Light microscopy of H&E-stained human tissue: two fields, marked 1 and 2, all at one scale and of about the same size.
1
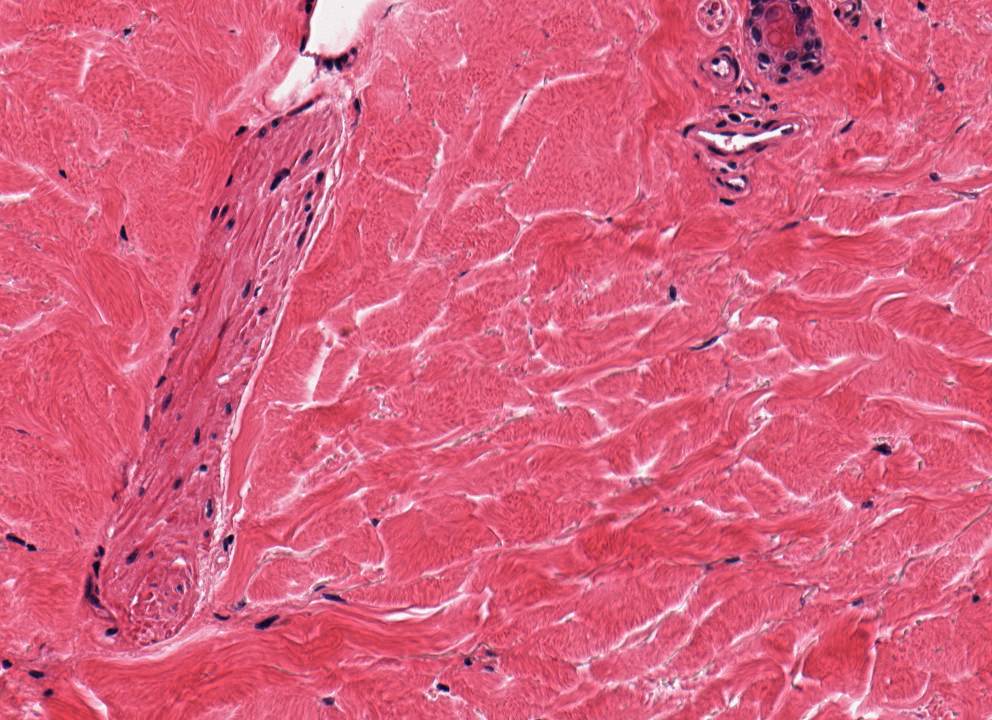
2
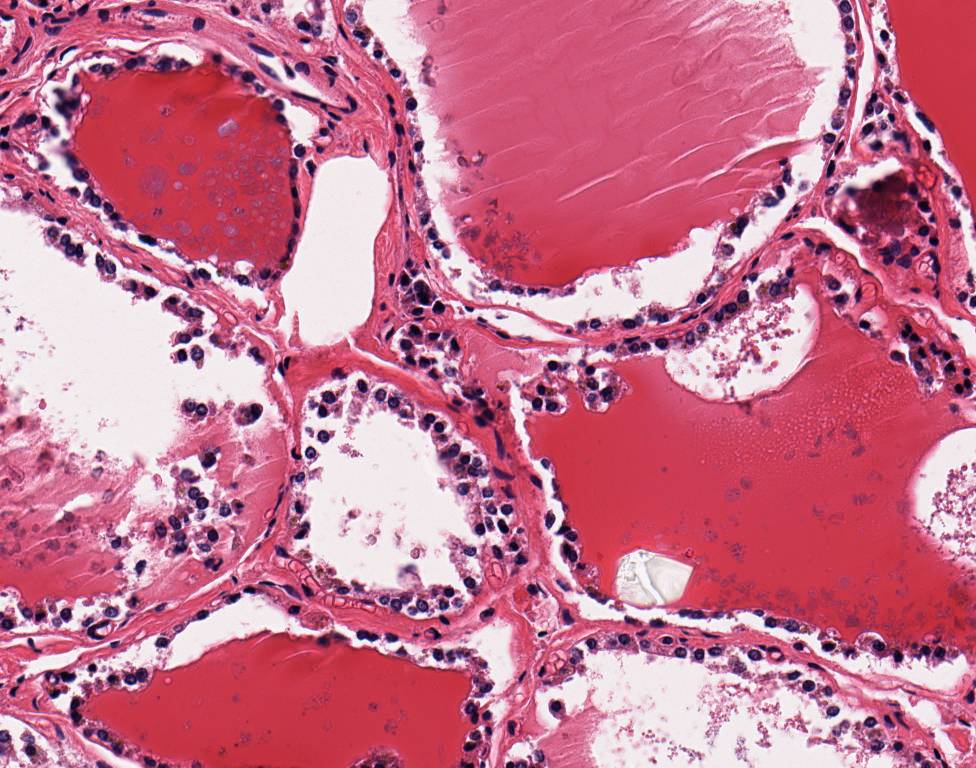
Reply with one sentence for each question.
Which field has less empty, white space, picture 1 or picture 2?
Picture 1 has less white space.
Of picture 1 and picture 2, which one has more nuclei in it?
It is picture 2 that has more nuclei in it.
